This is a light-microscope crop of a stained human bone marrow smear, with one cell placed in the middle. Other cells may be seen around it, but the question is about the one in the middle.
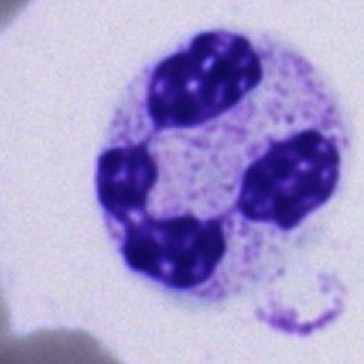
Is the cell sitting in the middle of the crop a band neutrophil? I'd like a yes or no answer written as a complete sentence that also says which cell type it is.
No, the centre of the crop is taken up by a segmented neutrophil, not a band neutrophil.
